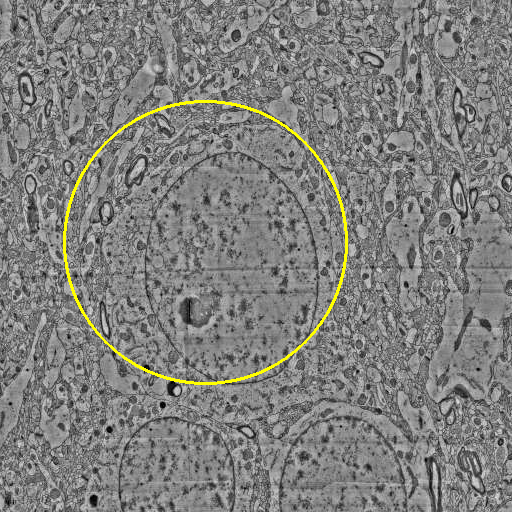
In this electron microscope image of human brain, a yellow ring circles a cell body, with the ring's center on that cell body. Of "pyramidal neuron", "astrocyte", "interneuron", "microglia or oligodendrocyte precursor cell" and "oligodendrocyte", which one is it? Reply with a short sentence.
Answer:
It is a pyramidal neuron at the center of the ring.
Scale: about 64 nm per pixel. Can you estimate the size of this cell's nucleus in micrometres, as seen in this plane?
Roughly 15 by 11 micrometres in this plane, for the nucleus of the ringed cell.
